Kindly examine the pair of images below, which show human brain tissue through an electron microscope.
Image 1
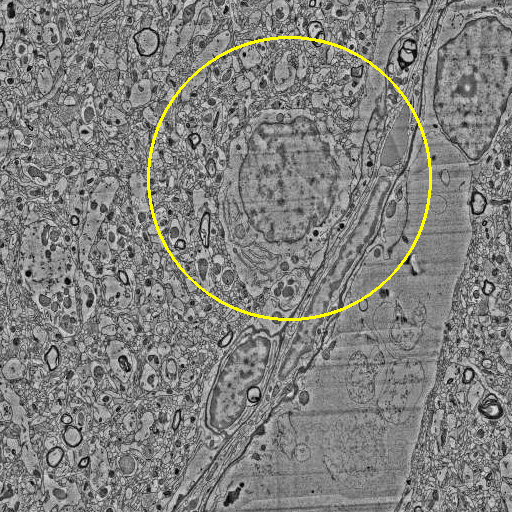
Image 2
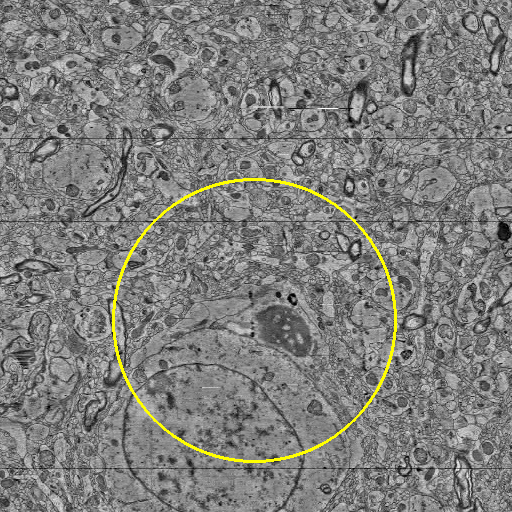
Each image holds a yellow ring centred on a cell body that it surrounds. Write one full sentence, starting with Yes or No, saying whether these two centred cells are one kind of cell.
No, the cells at the centres of the yellow rings belong to two kinds of cell.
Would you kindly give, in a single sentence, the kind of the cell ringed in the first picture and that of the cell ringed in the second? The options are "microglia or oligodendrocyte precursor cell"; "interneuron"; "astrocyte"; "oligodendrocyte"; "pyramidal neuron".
The second cell is a microglial cell or oligodendrocyte precursor cell, and the first cell is an interneuron.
